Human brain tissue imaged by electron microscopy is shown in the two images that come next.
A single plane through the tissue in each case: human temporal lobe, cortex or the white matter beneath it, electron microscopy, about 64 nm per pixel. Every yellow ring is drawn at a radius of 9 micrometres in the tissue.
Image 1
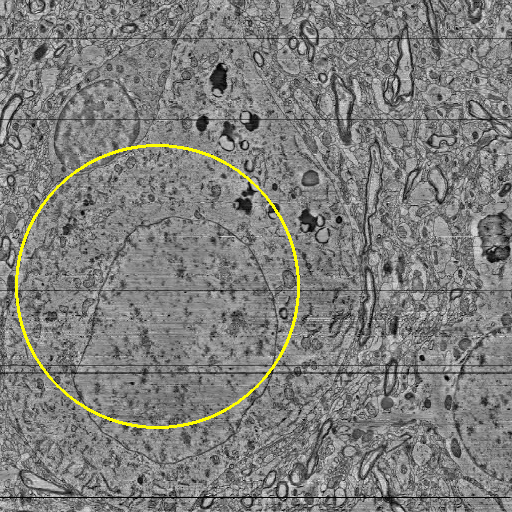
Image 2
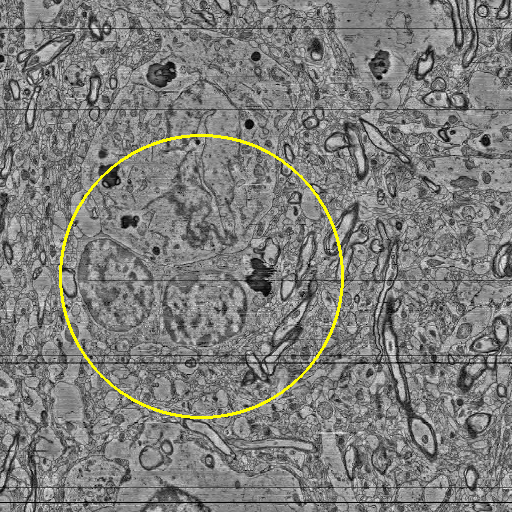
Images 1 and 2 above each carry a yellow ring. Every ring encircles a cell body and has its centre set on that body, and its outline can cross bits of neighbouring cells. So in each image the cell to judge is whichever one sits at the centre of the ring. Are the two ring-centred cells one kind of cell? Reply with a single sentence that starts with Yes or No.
No, in Image 1 and Image 2 the cells at the centres of their rings fall into two types.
